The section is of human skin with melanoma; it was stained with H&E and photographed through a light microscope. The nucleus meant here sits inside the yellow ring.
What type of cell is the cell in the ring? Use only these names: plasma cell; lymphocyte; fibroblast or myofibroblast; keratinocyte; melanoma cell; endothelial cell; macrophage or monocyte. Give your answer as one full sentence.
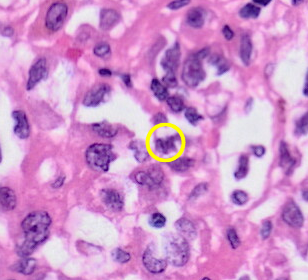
The cell meant here is a melanoma cell.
